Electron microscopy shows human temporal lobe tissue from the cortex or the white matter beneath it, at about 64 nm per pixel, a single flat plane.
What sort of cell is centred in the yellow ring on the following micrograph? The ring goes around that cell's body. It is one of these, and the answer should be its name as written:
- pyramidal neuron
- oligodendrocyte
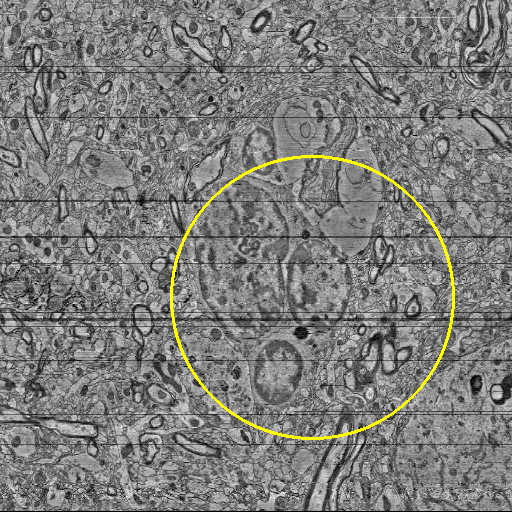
oligodendrocyte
